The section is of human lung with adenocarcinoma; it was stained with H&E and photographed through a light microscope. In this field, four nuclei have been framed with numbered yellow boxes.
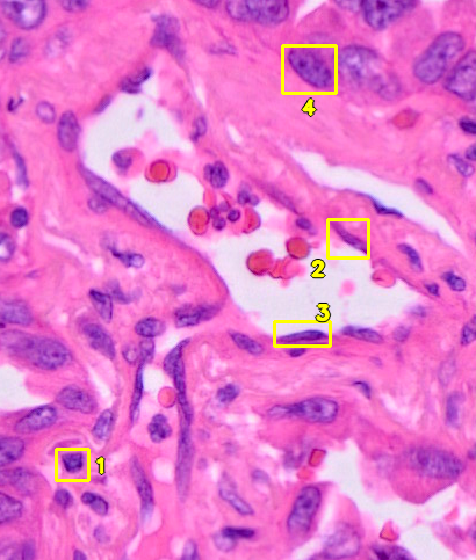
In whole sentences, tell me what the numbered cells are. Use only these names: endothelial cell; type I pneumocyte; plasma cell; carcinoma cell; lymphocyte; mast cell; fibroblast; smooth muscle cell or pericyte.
Cell 1 is a lymphocyte. Cells 2 and 3 are endothelial cells. Cell 4 is a carcinoma cell.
